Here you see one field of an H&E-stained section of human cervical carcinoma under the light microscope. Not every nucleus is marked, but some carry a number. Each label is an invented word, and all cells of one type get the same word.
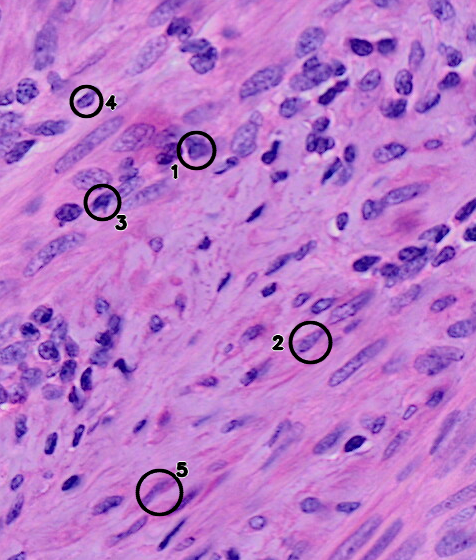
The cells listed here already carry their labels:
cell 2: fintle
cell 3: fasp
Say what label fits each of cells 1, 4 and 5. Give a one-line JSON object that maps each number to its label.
{"1": "fasp", "4": "fasp", "5": "fintle"}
